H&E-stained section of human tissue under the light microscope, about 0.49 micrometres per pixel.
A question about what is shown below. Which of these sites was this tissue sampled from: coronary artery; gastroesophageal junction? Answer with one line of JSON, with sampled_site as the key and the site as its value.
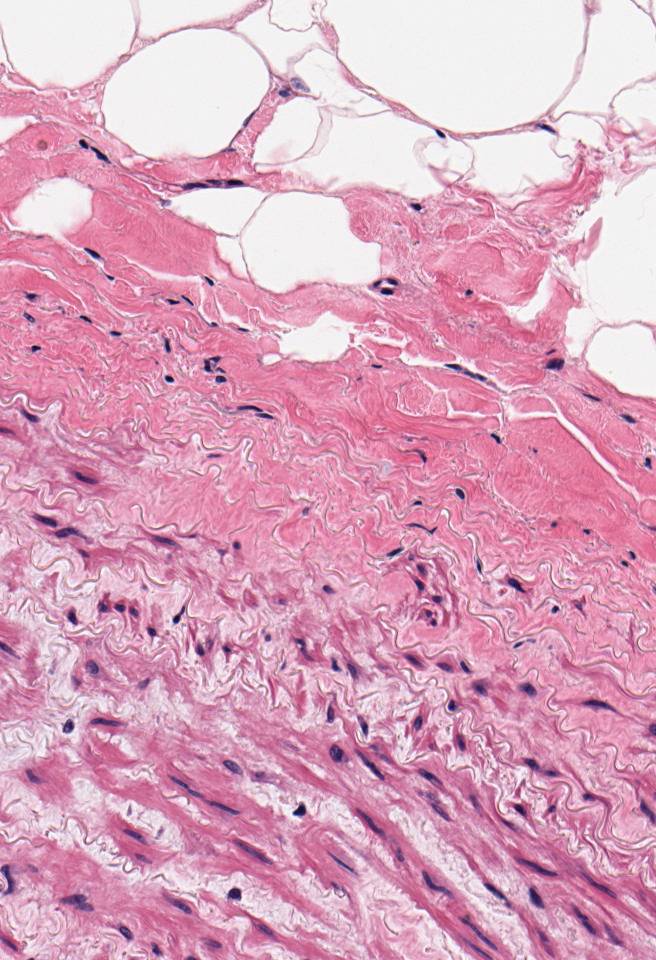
{"sampled_site": "coronary artery"}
